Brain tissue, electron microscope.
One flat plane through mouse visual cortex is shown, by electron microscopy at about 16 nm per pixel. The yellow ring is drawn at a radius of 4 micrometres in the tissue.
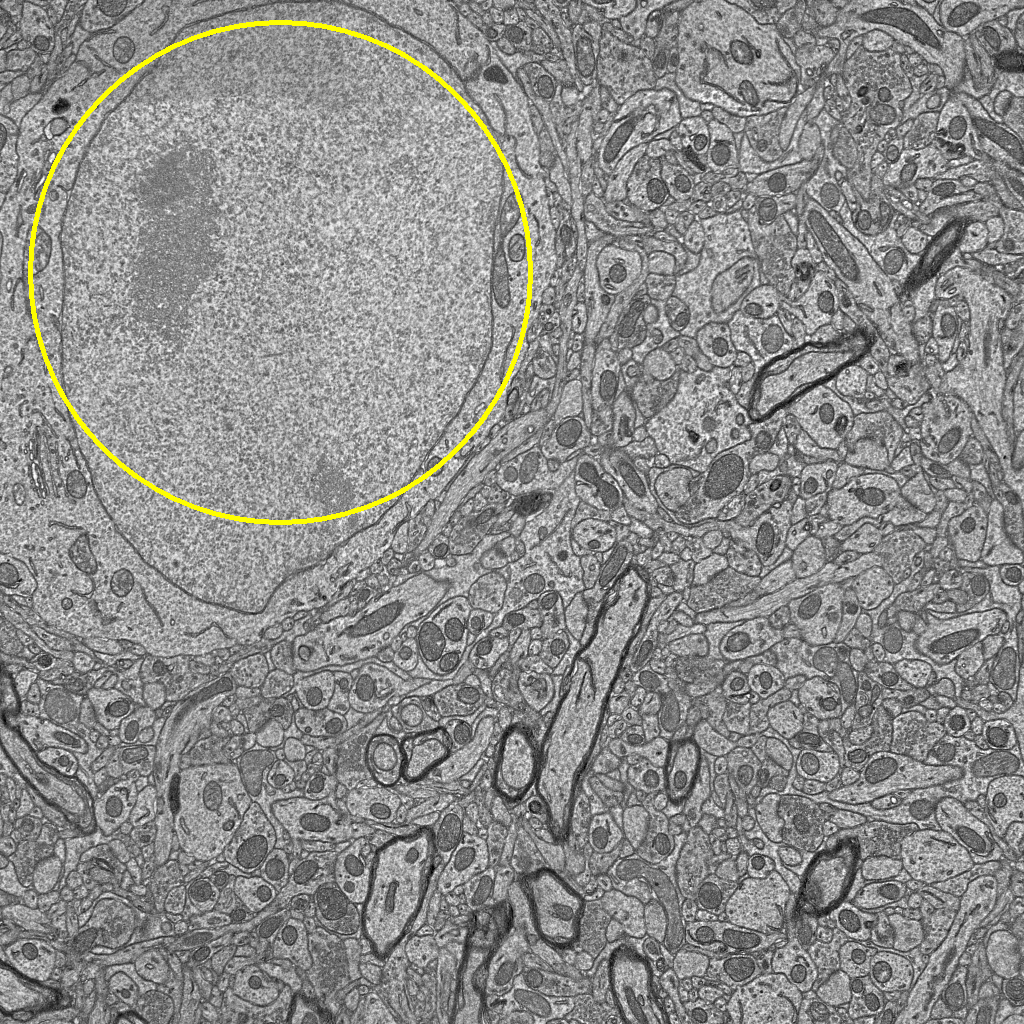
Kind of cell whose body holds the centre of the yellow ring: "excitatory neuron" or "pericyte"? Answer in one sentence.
The ring's centre falls on an excitatory neuron.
